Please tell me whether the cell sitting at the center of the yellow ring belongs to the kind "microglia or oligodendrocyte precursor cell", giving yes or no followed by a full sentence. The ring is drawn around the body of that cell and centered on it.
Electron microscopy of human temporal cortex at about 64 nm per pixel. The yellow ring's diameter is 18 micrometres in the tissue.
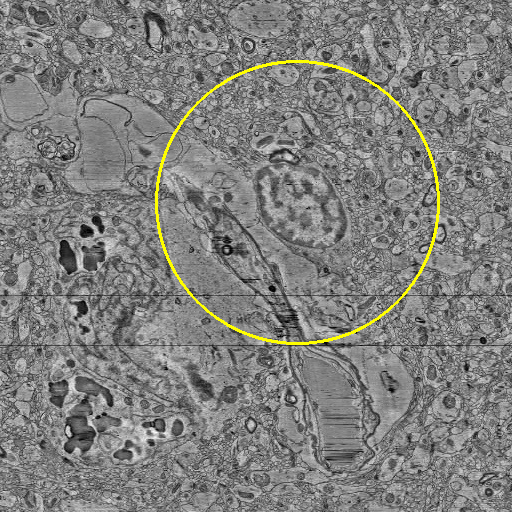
No, the cell at the center of the ring in the picture is of another kind.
